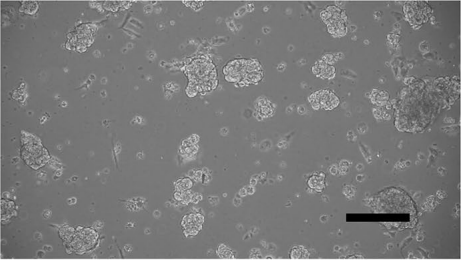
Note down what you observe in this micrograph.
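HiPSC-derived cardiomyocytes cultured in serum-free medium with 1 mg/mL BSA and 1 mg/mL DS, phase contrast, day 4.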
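The clusters vary in size and have bright, refractile edges. Small single rounded cells lie between them, and no continuous sheet of spread cells is present.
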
